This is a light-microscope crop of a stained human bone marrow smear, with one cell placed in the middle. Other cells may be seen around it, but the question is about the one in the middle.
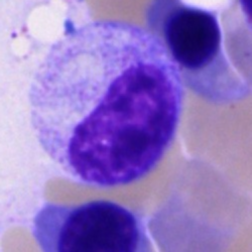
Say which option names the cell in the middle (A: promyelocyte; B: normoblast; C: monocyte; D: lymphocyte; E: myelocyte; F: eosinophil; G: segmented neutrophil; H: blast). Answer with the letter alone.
E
